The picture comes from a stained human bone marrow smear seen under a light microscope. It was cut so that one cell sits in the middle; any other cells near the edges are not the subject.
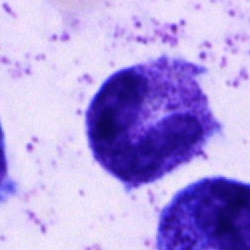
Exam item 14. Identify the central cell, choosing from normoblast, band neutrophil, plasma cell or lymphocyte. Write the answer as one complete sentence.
The cell of interest, located centrally, is a band neutrophil.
